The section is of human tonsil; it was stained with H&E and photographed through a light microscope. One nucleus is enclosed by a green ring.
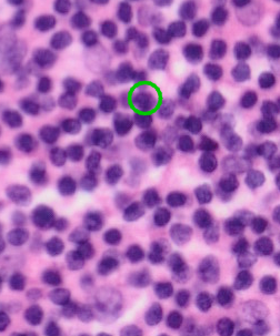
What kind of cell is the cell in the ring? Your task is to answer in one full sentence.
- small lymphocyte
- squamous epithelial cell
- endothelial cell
Within the stained tissue, the cell in the ring is a small lymphocyte.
